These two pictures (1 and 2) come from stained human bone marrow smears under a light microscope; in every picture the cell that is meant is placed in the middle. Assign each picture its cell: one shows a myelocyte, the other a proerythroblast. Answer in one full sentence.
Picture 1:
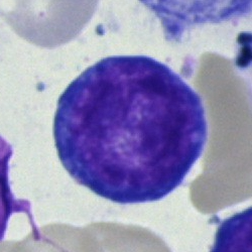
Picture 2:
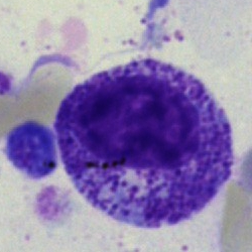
Picture 1 is of a proerythroblast, and picture 2 is of a myelocyte.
